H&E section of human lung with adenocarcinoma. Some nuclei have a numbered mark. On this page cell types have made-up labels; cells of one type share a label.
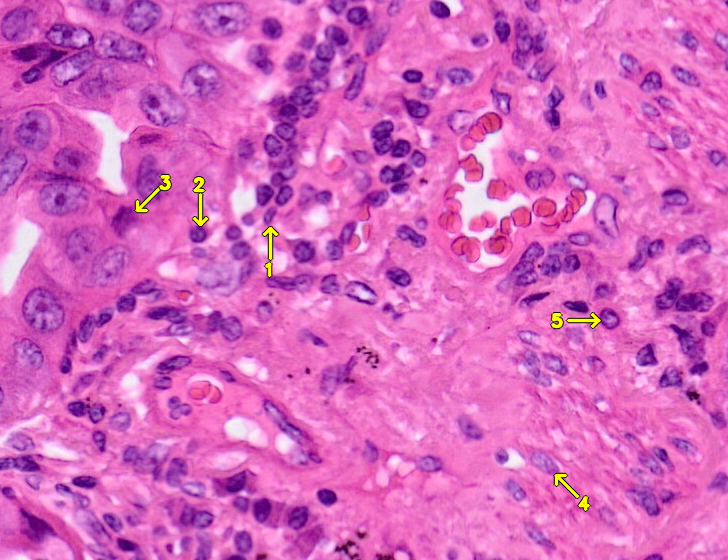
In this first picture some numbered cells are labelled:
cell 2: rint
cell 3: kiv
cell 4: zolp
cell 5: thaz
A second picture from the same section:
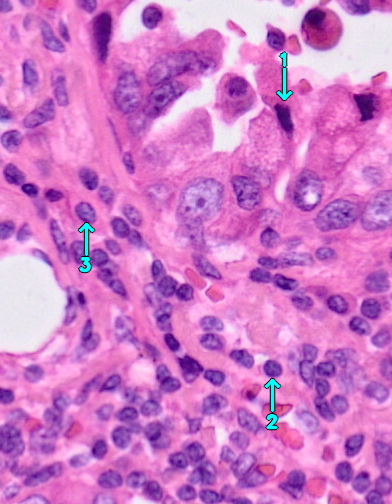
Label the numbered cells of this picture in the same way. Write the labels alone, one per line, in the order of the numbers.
kiv
rint
thaz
